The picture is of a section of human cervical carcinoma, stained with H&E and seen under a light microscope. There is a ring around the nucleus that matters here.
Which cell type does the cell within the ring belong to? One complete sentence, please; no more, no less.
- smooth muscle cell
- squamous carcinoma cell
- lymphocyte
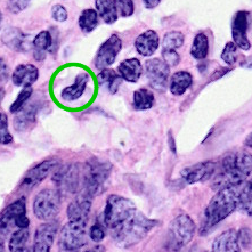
In cellular terms, the cell within the ring is a lymphocyte.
